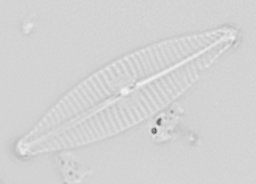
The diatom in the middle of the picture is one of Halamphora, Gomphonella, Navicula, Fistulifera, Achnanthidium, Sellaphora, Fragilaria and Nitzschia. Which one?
Halamphora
